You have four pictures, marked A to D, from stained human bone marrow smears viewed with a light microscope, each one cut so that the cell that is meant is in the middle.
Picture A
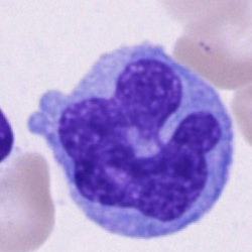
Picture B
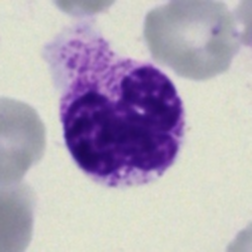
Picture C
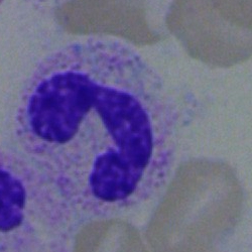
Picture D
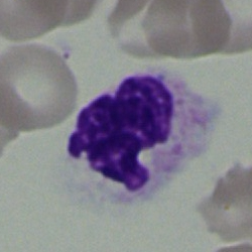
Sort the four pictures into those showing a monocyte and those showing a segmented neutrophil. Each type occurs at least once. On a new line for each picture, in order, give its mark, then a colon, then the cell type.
A: monocyte
B: segmented neutrophil
C: segmented neutrophil
D: segmented neutrophil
